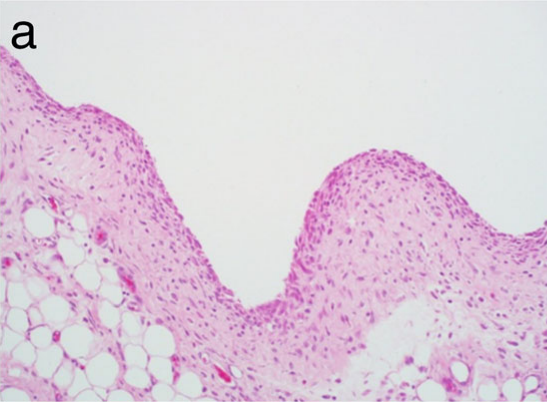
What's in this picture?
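This is a synovial lining made of fibrous tissue populated with fibroblast-like cells and histiocytes, forming a thick, undulating layer along a free surface. The layer stains pink and is crowded with many small oval to elongated dark purple nuclei. The cells are most densely packed toward the surface, and their nuclei there run roughly parallel to it. Beneath the cellular layer lies fat, seen as large clear polygonal spaces separated by thin pink septa. Small vessels containing red blood cells lie in the tissue between the fat cells.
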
